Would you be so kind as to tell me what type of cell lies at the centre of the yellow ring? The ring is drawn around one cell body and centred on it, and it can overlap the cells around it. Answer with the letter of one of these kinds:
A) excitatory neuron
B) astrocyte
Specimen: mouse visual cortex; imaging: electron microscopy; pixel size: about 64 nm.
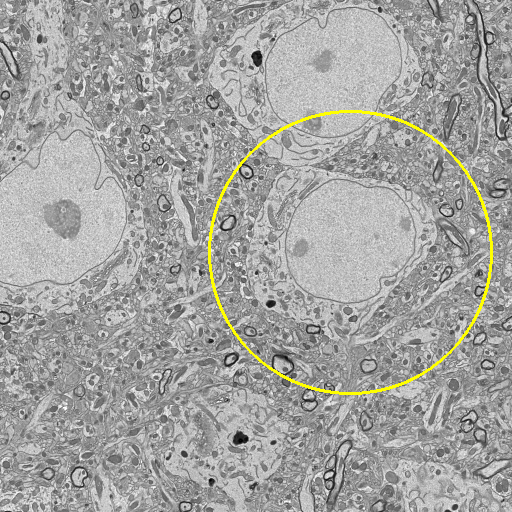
A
